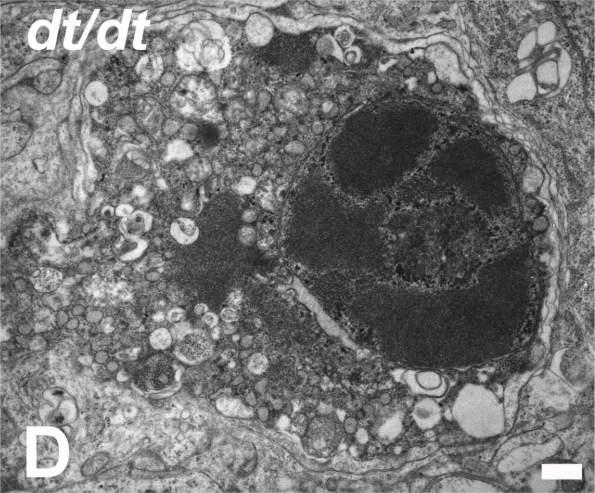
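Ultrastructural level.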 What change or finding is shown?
Chromatin condensation with intact nuclear envelope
